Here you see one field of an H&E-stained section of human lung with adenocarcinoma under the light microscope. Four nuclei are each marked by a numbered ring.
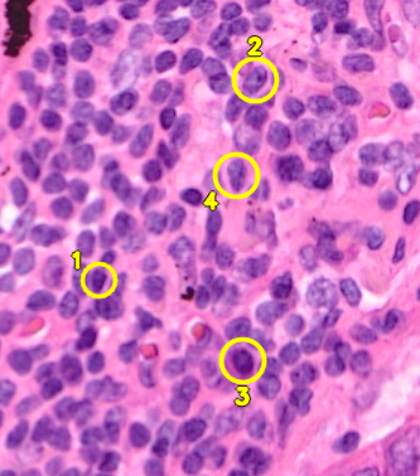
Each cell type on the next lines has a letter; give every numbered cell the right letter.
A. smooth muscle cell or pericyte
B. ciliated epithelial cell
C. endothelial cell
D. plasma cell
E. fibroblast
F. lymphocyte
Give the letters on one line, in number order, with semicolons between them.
F; F; D; F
